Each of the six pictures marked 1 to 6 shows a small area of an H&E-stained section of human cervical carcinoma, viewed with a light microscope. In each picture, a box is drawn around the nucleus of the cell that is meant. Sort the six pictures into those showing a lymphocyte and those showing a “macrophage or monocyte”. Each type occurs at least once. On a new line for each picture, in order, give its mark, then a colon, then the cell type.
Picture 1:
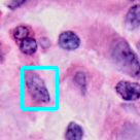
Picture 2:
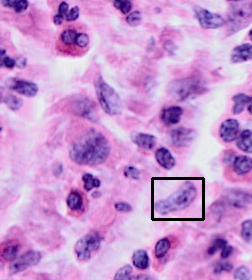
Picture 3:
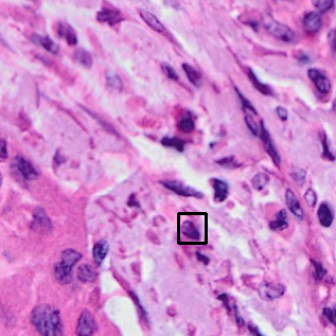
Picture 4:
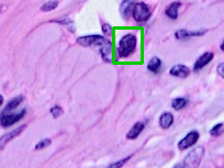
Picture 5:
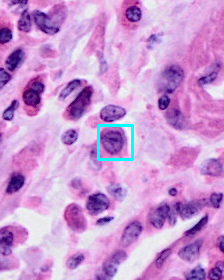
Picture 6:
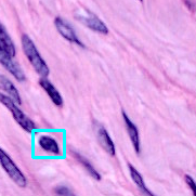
1: macrophage or monocyte
2: macrophage or monocyte
3: macrophage or monocyte
4: lymphocyte
5: macrophage or monocyte
6: lymphocyte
